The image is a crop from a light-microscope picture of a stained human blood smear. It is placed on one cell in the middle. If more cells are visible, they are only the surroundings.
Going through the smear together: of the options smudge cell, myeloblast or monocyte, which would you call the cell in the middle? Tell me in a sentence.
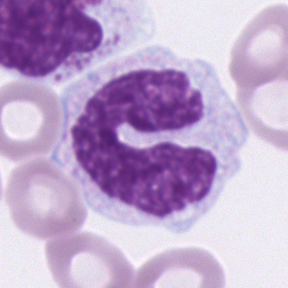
Classification of the middle cell gives a monocyte.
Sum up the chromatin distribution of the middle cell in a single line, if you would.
Its nuclear chromatin is gathered into coarse clumps.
